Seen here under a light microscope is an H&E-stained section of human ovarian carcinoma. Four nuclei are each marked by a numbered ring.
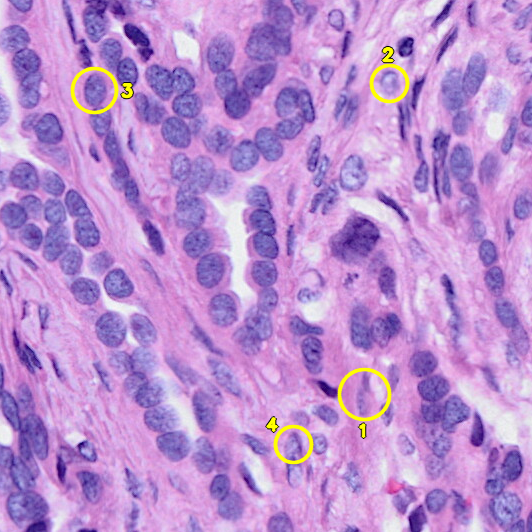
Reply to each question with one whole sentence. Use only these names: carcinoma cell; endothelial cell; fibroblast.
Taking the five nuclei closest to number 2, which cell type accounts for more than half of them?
Most of the five nuclei nearest to number 2 are those of fibroblasts.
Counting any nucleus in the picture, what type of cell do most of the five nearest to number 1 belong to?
Carcinoma cells make up most of the five nuclei closest to number 1.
